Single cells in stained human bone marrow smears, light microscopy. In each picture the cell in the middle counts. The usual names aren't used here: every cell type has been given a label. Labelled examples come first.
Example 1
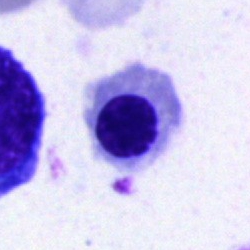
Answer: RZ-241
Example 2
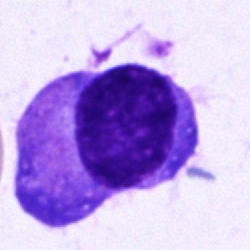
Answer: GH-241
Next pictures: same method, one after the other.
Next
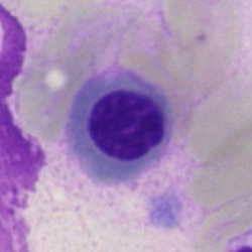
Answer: RZ-241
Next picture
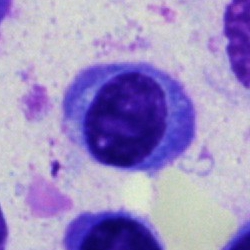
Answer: GH-241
